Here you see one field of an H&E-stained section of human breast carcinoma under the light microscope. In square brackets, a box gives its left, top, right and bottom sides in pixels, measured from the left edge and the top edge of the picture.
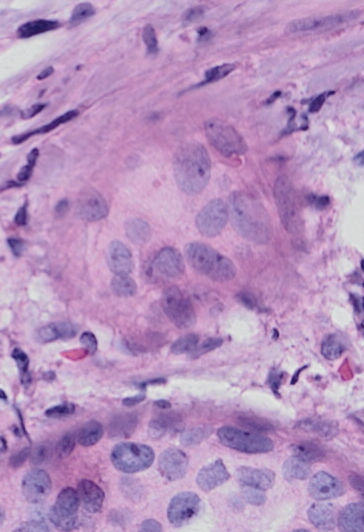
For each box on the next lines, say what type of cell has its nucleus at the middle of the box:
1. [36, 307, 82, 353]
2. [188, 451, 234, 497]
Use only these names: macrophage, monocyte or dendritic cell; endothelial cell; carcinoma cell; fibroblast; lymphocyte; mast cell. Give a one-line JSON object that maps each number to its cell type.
{"1": "endothelial cell", "2": "carcinoma cell"}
